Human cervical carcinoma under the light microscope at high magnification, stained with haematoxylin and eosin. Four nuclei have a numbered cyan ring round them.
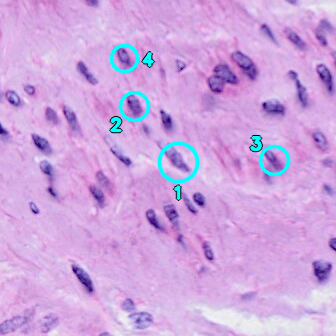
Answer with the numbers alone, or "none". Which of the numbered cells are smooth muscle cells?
2, 3, 4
